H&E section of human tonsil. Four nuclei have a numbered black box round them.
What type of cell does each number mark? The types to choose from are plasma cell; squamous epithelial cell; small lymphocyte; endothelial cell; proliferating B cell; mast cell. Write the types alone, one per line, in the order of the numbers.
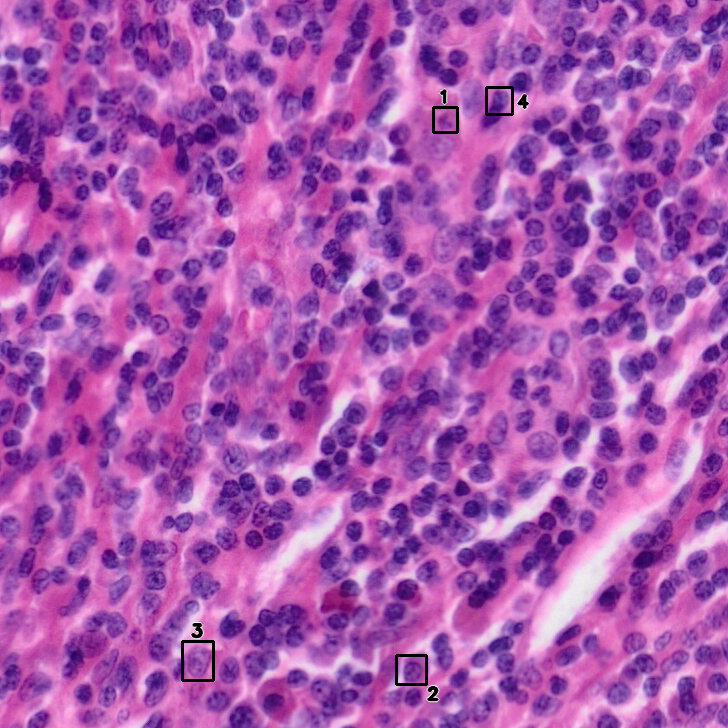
endothelial cell
plasma cell
endothelial cell
endothelial cell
